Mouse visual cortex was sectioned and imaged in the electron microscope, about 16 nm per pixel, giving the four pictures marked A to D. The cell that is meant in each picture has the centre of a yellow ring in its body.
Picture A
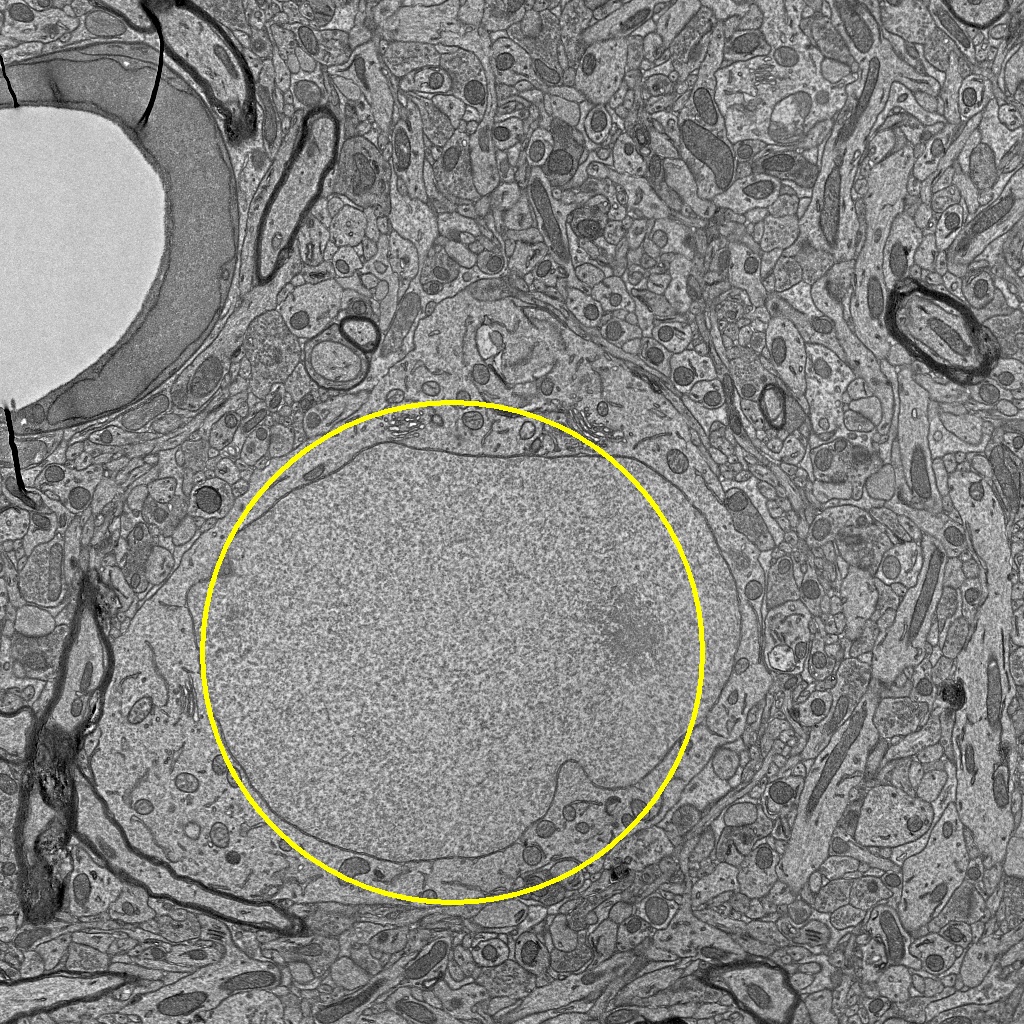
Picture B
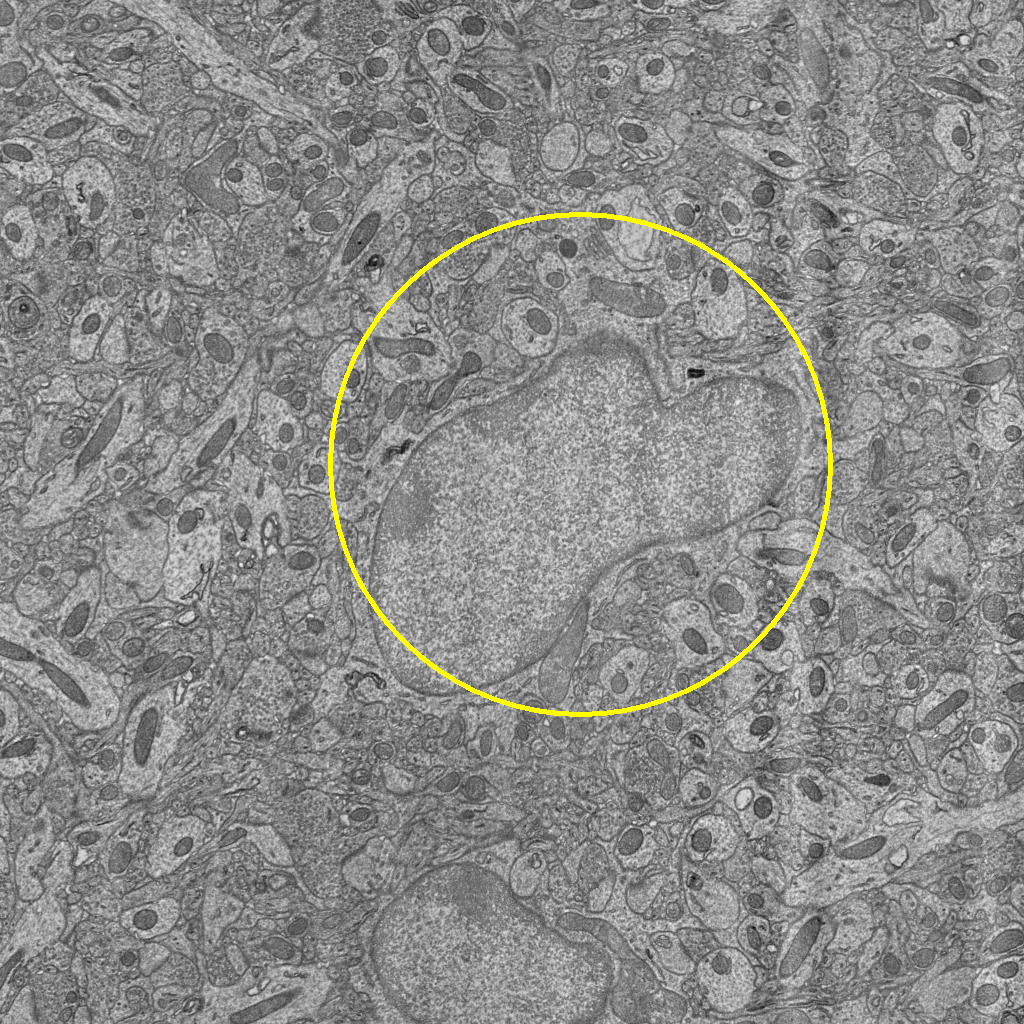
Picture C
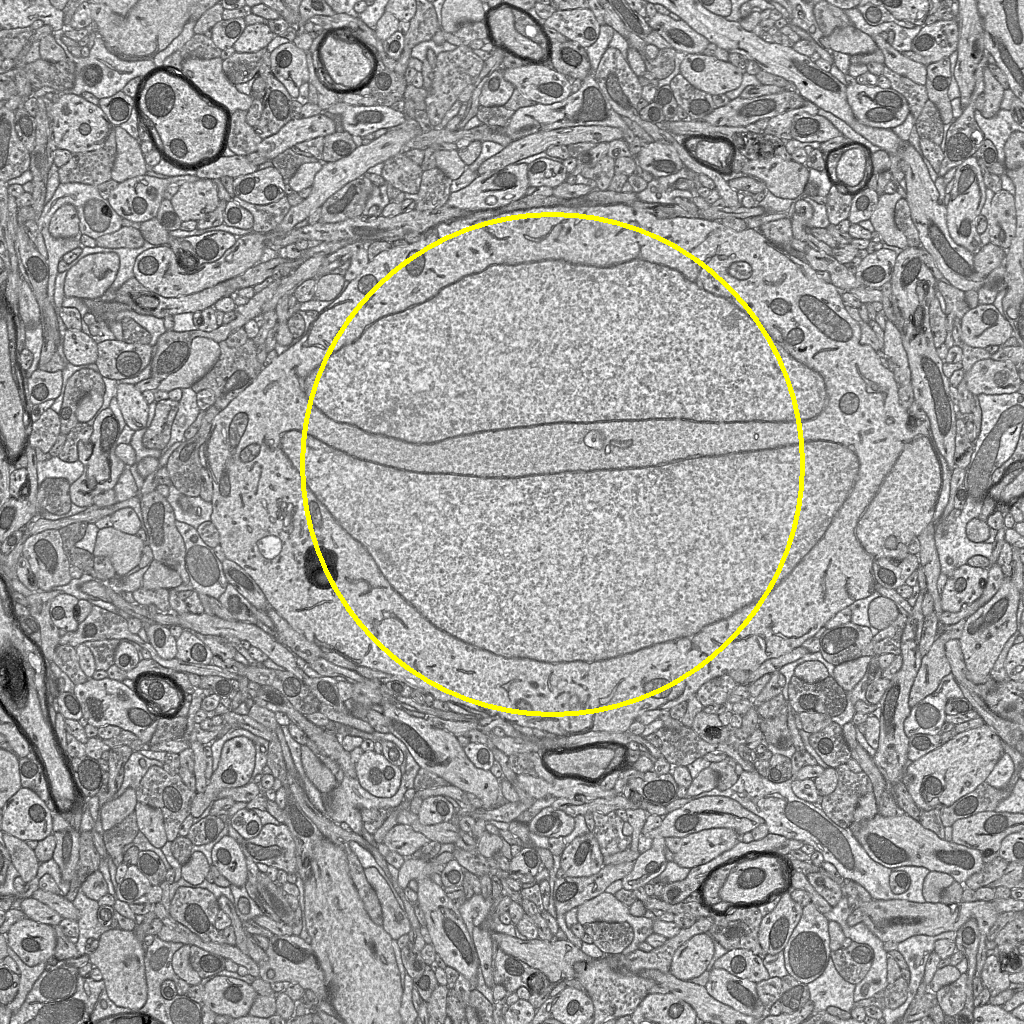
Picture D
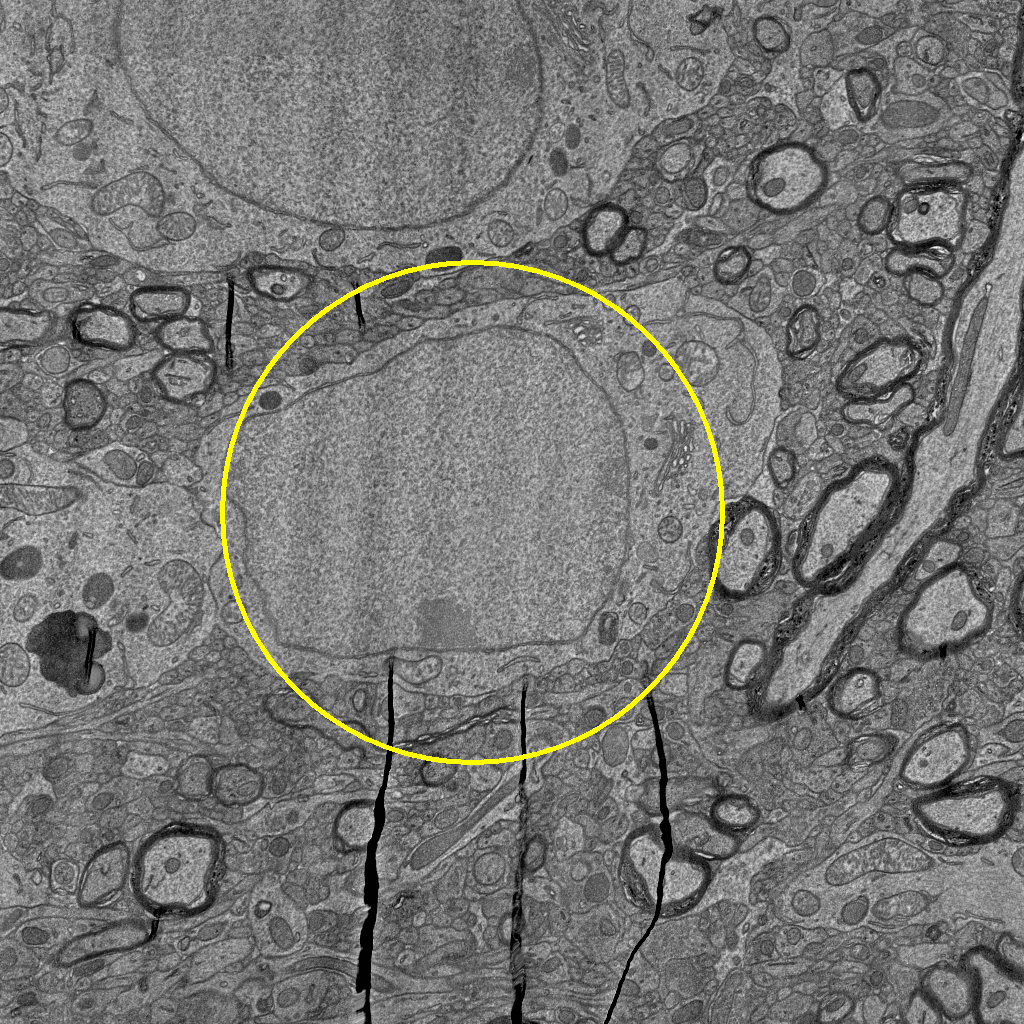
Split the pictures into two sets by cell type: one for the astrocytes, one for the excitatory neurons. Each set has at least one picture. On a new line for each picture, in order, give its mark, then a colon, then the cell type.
A: excitatory neuron
B: astrocyte
C: excitatory neuron
D: excitatory neuron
